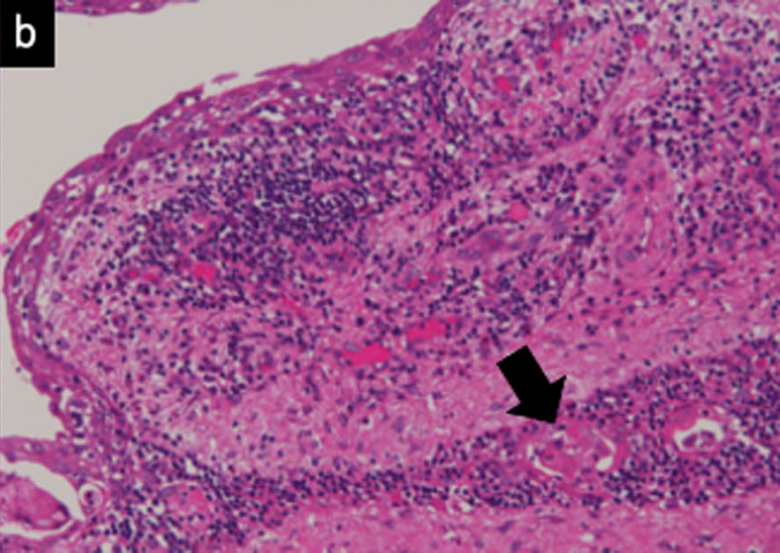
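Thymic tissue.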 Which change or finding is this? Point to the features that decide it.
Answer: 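Inflammatory infiltrates. Dense sheets of small cells with round dark nuclei fill the wall. The small cells crowd in bands beneath the lining.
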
